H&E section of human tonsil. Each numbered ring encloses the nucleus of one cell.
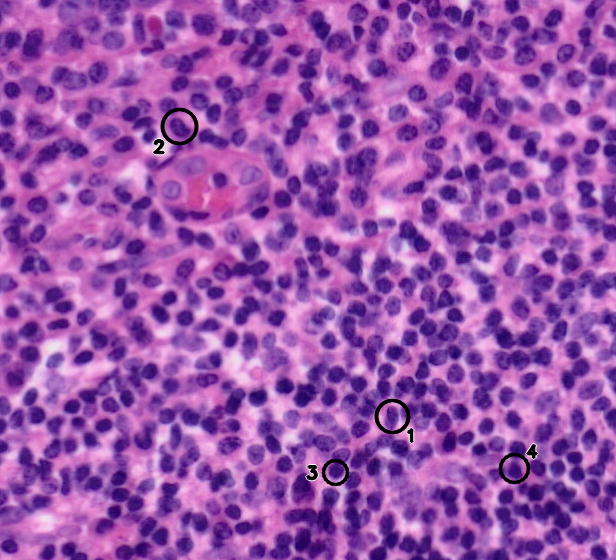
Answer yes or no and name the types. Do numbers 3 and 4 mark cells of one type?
Yes, both cell 3 and cell 4 are classified as small lymphocytes.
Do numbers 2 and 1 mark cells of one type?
No, not so; cell 2 is a plasma cell and cell 1 is a small lymphocyte.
